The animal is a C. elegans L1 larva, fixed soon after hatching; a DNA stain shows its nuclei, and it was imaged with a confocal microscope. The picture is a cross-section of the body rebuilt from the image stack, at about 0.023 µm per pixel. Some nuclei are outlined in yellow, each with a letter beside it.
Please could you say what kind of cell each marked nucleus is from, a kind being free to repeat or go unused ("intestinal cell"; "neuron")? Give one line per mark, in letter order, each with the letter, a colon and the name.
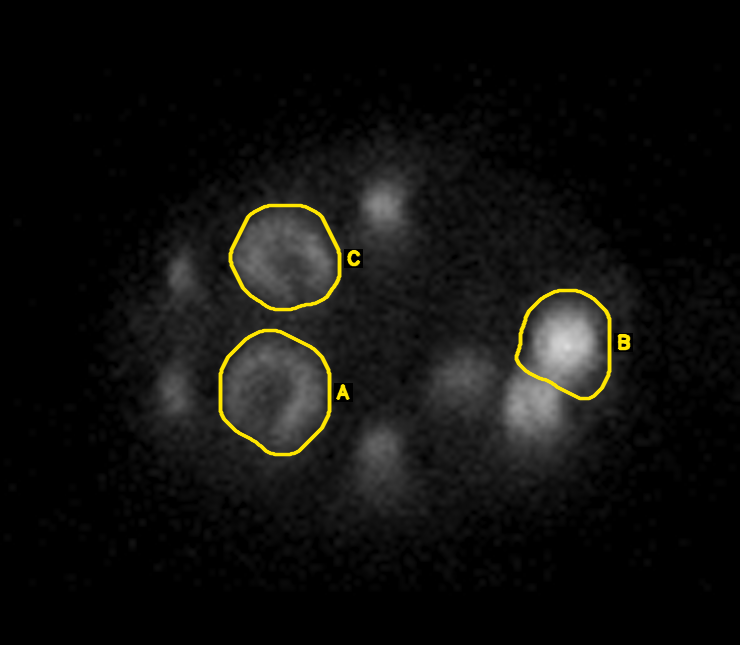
A: intestinal cell
B: neuron
C: intestinal cell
